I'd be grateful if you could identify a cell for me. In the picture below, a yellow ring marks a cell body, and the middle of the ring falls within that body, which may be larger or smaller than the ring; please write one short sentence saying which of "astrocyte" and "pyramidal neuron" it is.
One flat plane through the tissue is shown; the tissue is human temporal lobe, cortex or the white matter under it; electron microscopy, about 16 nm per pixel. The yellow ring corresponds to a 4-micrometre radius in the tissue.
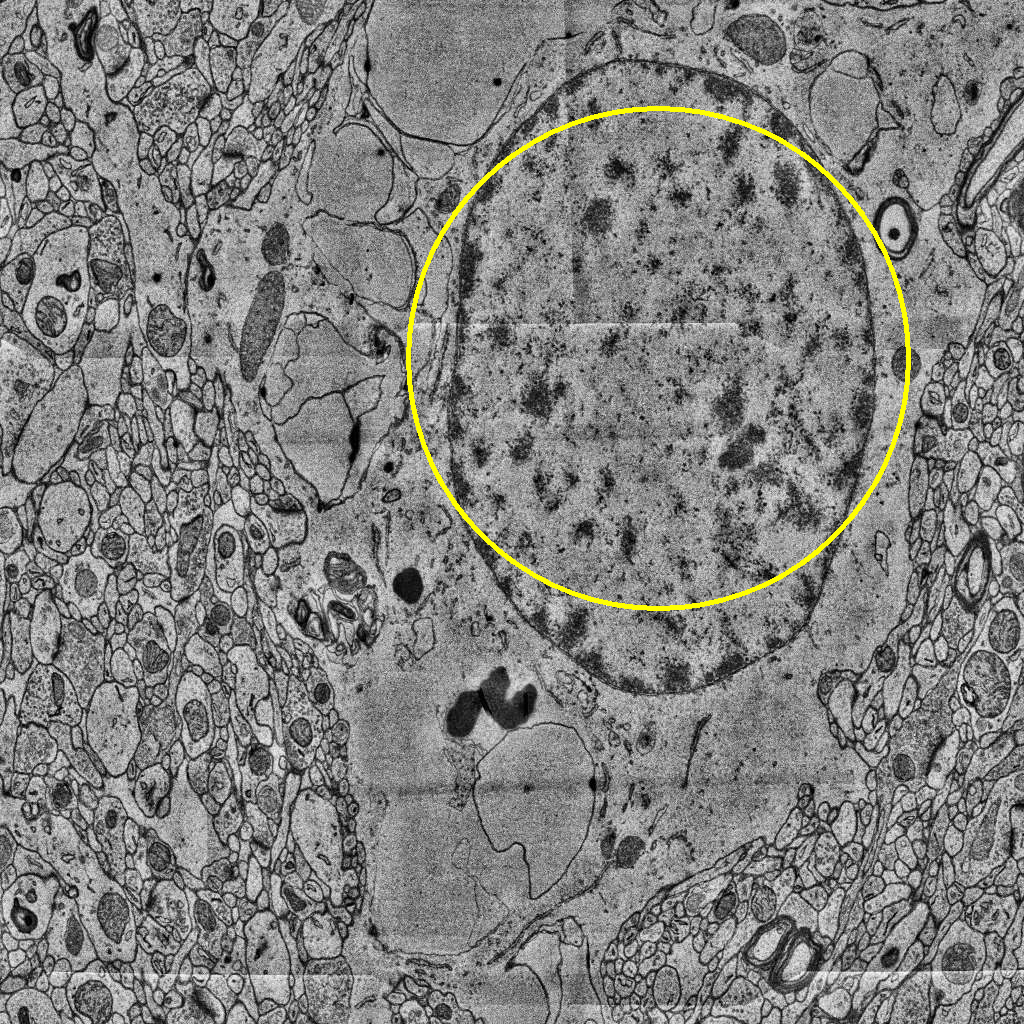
The cell under the ring's centre is an astrocyte.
